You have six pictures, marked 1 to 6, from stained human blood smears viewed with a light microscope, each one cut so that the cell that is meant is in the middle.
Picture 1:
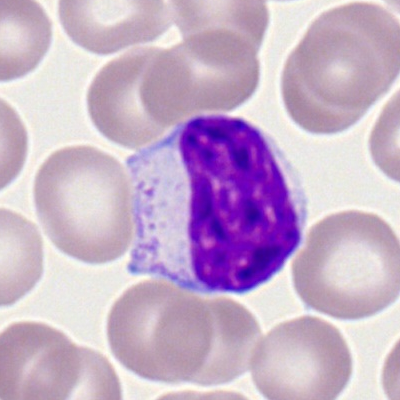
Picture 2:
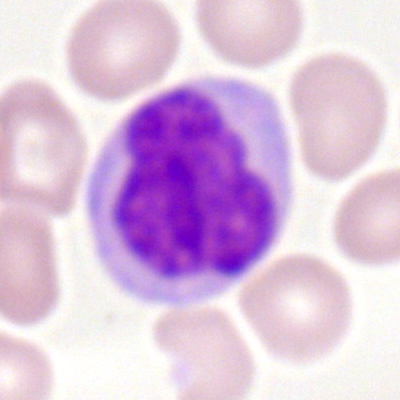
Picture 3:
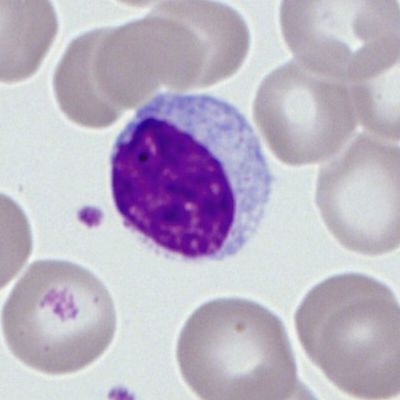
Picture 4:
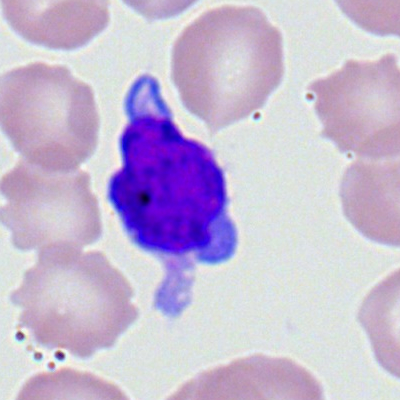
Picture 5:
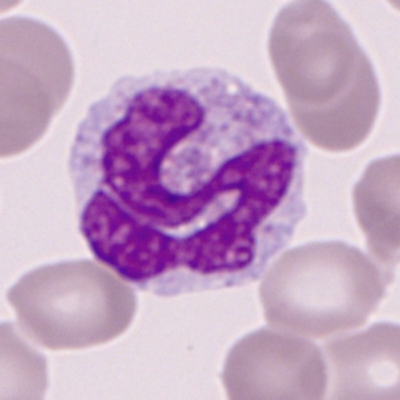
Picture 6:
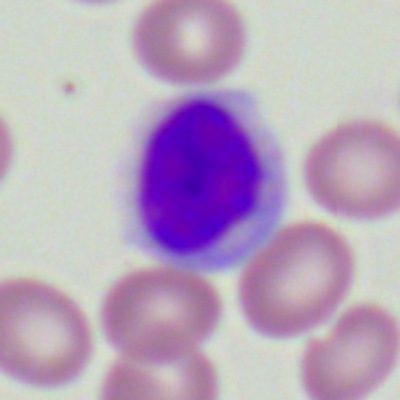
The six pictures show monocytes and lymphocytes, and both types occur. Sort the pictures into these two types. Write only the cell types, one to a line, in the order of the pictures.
lymphocyte
monocyte
lymphocyte
lymphocyte
monocyte
lymphocyte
